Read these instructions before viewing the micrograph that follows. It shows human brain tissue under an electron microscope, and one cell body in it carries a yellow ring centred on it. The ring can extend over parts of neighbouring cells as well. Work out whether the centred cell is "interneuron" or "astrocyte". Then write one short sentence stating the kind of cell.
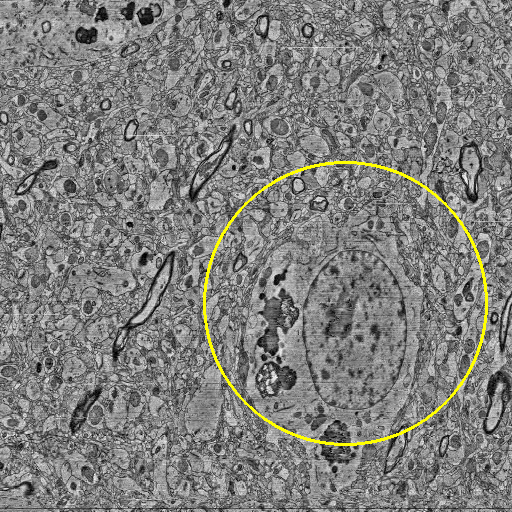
The ringed cell is an astrocyte.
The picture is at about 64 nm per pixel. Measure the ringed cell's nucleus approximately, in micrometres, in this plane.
Roughly 11 micrometres by 7 micrometres, so the nucleus is clearly longer than it is wide in this plane.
